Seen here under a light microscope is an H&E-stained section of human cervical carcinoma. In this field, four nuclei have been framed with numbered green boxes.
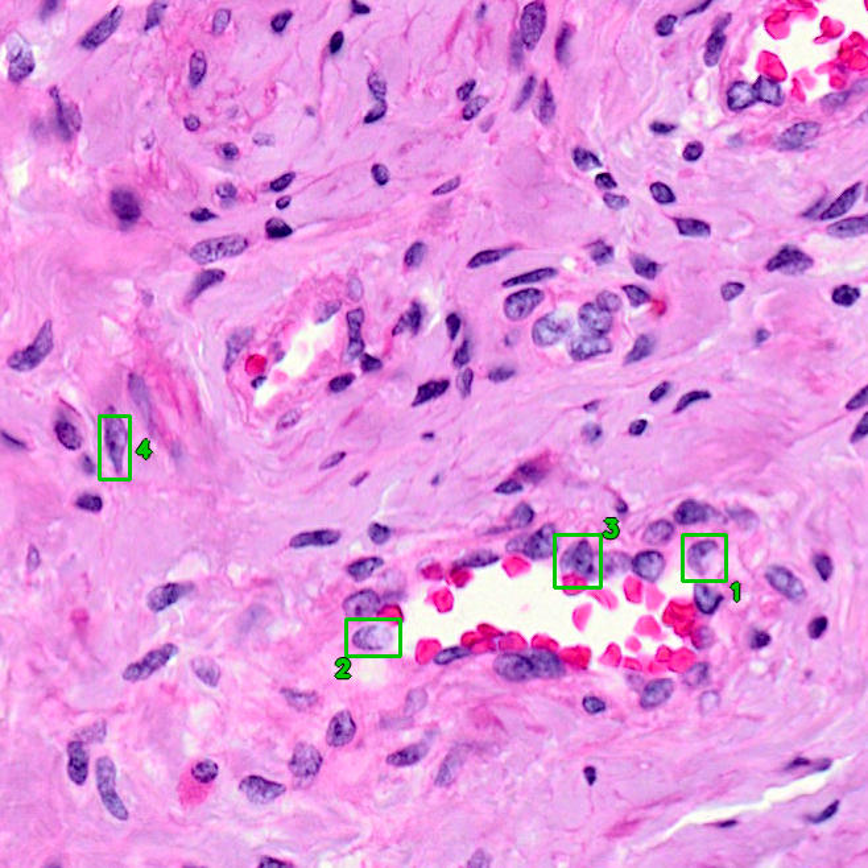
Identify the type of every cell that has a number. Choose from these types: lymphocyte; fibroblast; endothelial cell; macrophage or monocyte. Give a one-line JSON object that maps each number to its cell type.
{"1": "endothelial cell", "2": "endothelial cell", "3": "endothelial cell", "4": "fibroblast"}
